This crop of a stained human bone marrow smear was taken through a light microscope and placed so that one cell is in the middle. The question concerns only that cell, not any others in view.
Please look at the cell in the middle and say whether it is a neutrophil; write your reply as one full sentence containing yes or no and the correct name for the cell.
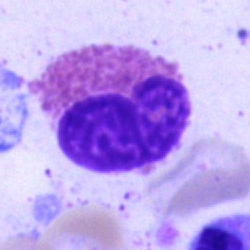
No, the central cell is an eosinophil, not a neutrophil.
